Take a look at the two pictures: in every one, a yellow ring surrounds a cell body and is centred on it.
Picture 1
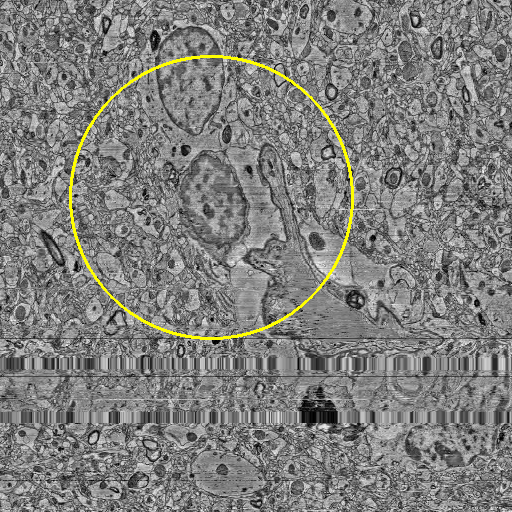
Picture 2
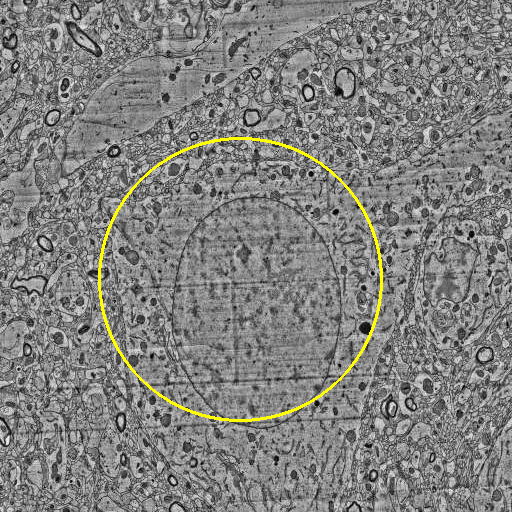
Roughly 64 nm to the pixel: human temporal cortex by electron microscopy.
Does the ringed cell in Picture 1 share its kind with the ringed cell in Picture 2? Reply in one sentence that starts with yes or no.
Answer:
No, the two centred cells, one per picture, are of two kinds.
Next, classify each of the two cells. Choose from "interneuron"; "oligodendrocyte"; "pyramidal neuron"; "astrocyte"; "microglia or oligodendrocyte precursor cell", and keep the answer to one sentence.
In the first picture it is an oligodendrocyte; in the second it is a pyramidal neuron.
